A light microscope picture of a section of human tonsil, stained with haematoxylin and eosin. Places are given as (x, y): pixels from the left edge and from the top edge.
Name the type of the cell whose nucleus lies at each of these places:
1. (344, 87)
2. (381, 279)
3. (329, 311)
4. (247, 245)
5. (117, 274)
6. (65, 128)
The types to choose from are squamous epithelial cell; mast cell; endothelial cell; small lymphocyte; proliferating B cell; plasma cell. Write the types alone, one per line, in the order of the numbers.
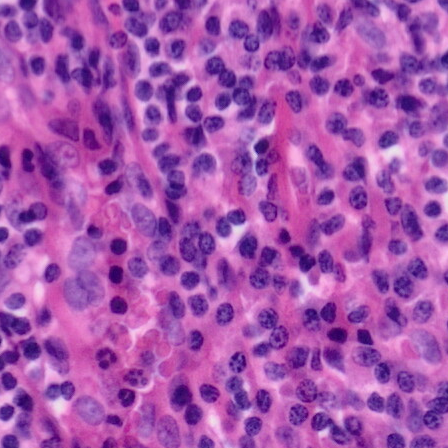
plasma cell
plasma cell
plasma cell
plasma cell
endothelial cell
endothelial cell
